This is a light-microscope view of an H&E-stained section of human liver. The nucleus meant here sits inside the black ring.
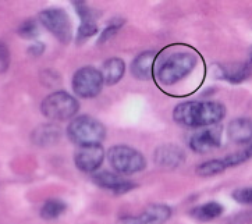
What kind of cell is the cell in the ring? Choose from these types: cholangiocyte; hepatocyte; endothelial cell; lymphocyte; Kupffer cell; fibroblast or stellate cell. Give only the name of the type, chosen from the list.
cholangiocyte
